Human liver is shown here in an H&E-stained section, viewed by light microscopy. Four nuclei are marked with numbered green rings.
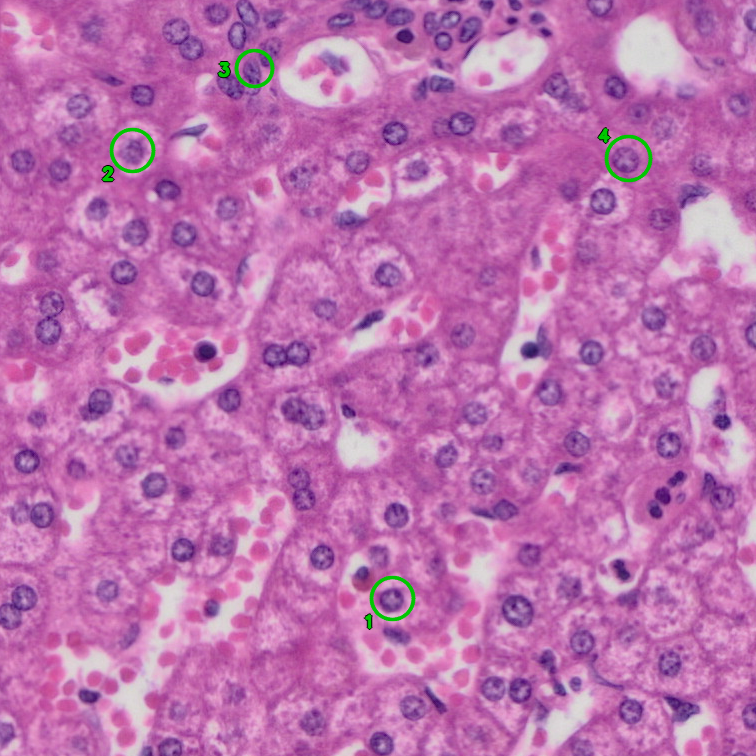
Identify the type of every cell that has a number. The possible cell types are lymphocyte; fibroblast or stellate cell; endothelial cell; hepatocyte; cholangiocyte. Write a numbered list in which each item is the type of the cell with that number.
1. hepatocyte
2. hepatocyte
3. cholangiocyte
4. hepatocyte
